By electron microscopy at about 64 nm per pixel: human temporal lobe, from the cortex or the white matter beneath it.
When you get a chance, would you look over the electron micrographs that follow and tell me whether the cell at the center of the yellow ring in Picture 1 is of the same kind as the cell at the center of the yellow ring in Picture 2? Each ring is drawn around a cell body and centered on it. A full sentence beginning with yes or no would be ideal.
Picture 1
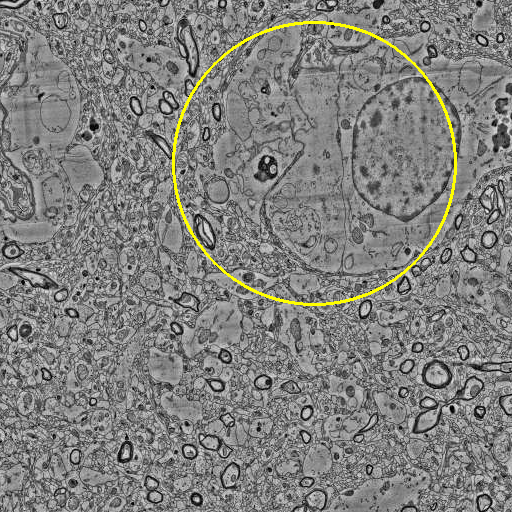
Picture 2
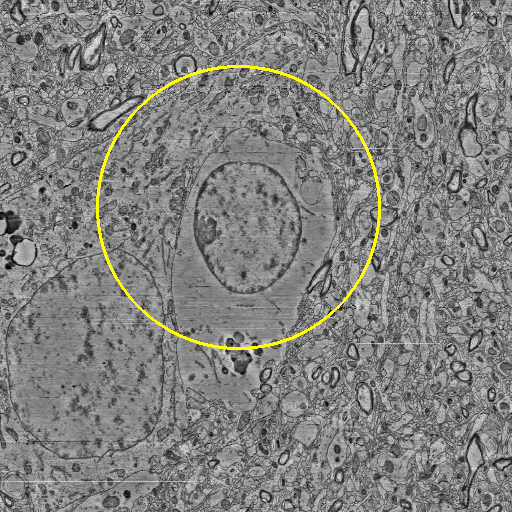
Yes, the two cells are of the same kind.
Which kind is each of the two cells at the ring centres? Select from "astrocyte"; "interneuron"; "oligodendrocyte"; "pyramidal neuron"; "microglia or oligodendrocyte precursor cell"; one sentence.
In each picture the ringed cell is an astrocyte.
